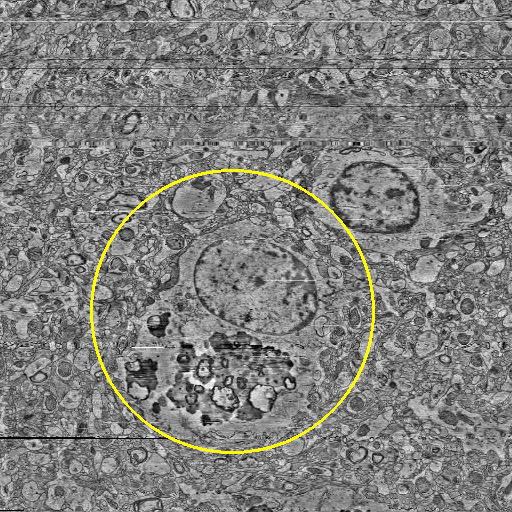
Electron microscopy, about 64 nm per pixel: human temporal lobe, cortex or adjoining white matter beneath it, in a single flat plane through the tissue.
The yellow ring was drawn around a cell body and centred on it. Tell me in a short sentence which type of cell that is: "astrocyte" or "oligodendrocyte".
The cell at the ring's centre is an astrocyte.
